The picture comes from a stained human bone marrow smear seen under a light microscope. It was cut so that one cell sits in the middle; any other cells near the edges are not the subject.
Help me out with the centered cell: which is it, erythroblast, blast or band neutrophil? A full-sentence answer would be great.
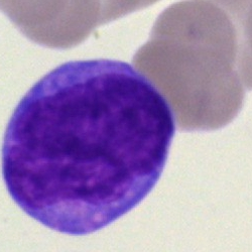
Occupying the centre of the crop is a blast.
